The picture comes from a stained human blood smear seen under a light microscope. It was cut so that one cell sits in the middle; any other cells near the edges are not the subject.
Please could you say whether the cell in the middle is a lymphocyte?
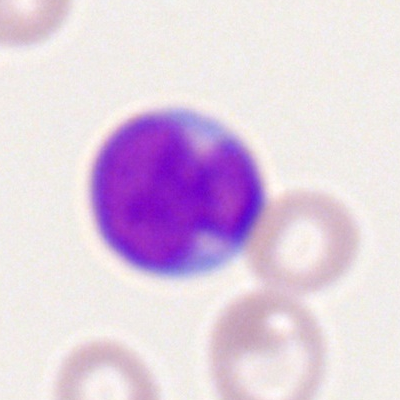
no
